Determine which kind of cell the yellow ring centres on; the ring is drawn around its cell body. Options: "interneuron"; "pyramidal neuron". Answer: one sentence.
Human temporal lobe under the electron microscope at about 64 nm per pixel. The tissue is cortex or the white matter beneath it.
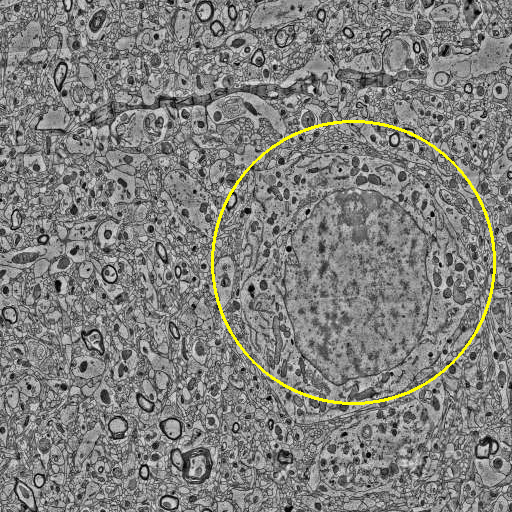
The ring centres on an interneuron.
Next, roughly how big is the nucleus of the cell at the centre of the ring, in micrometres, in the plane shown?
In this plane the nucleus measures roughly 12 by 10 micrometres.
